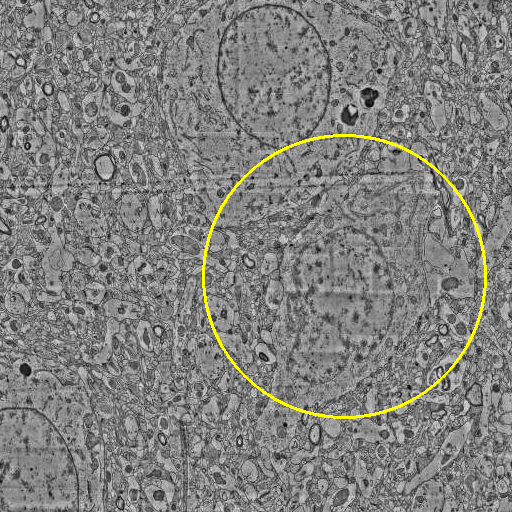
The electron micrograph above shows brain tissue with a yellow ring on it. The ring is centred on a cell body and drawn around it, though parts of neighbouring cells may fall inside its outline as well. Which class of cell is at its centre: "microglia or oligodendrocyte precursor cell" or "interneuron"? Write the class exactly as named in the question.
interneuron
